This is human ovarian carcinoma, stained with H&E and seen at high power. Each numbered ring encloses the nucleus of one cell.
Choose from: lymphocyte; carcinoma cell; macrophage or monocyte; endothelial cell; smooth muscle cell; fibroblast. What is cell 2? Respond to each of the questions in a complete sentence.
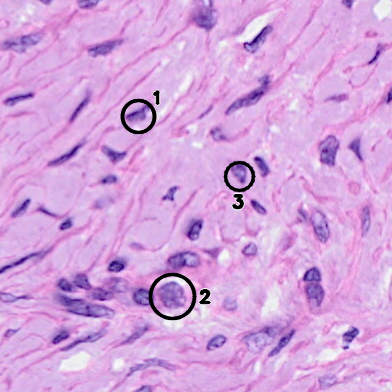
The cell assigned the number 2 is an endothelial cell.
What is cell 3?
The nucleus labelled 3 belongs to a fibroblast.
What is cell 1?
The cell tagged with 1 in this tissue section is a fibroblast.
